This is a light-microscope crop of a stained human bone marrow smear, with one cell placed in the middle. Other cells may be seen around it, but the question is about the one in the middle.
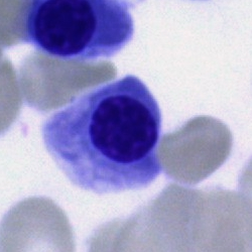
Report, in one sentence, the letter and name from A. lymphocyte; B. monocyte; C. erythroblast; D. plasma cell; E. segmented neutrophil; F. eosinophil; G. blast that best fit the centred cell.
The cell at the centre, correctly named in option C, is an erythroblast.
